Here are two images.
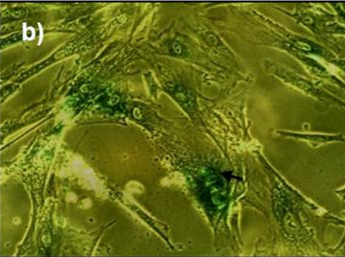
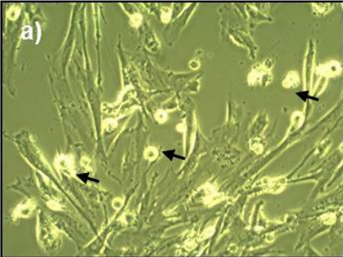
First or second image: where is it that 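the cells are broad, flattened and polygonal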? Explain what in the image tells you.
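The first image. Second image: cells are slender and spindle-shaped, with rounded bright cells among them.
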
